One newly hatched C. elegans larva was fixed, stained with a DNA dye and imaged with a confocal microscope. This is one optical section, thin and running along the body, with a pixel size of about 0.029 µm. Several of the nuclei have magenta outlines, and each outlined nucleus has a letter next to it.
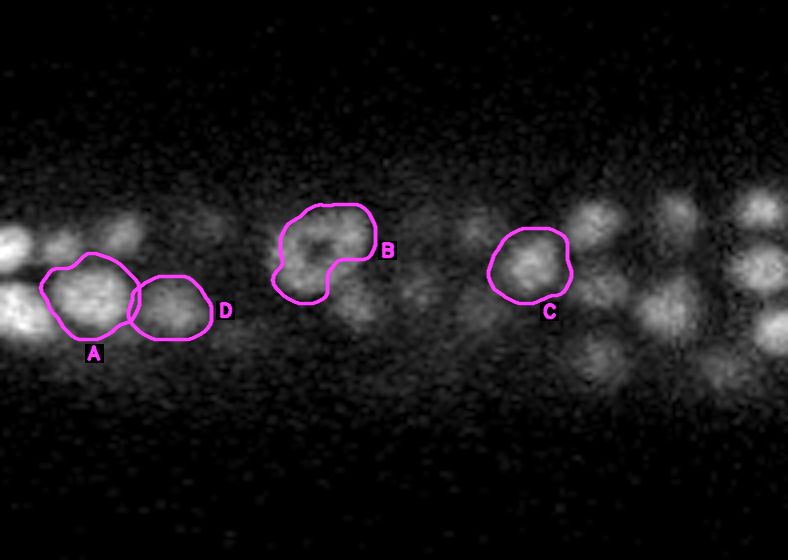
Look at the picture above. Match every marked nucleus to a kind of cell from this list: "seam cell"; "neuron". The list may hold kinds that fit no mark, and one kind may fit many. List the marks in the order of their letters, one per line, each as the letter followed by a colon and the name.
A: neuron
B: seam cell
C: neuron
D: neuron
